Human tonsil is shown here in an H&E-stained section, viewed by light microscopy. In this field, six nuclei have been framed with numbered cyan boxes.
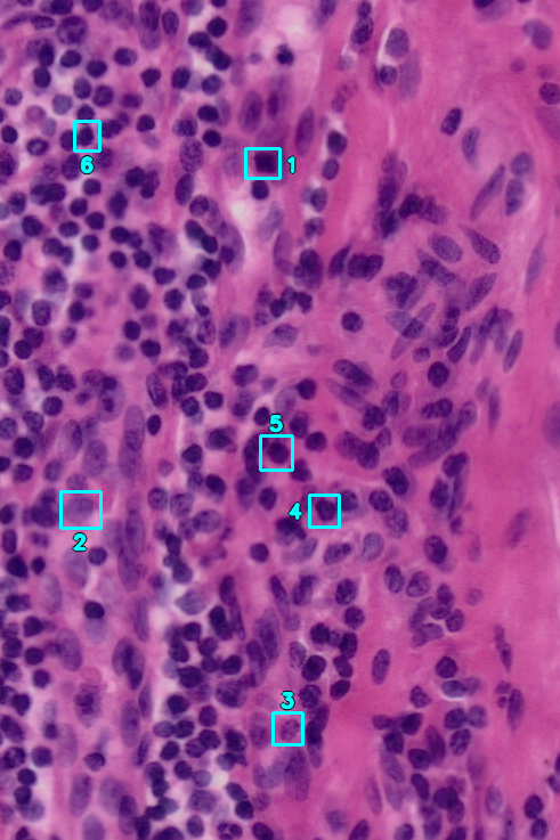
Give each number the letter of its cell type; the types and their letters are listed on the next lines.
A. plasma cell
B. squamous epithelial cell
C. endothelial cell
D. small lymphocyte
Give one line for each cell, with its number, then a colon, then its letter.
1: C
2: C
3: C
4: A
5: A
6: D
